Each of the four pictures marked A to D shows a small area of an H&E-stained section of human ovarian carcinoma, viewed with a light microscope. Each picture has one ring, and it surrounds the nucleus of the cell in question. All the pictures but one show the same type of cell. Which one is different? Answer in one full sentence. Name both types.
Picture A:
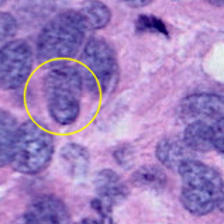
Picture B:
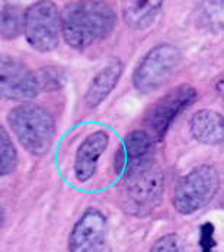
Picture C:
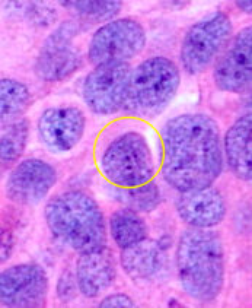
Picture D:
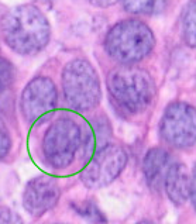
Unlike the rest, which show carcinoma cells, picture B shows a “macrophage or monocyte”.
